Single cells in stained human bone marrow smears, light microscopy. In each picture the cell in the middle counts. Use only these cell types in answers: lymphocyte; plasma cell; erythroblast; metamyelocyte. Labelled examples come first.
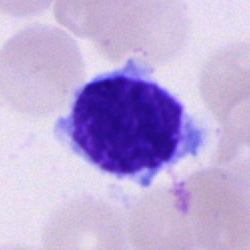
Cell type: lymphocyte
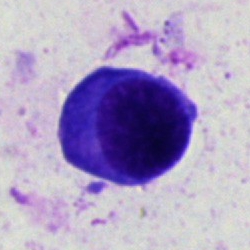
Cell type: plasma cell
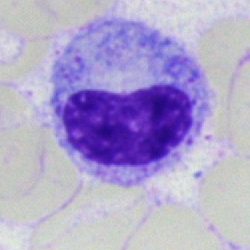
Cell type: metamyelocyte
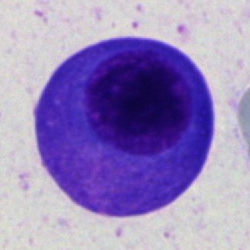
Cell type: plasma cell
